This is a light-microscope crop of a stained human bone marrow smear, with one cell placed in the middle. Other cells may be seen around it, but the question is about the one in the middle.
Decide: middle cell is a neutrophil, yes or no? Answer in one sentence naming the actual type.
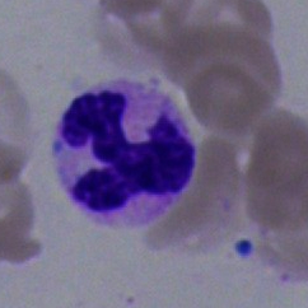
Yes, the cell positioned at the centre of the crop is a neutrophil.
